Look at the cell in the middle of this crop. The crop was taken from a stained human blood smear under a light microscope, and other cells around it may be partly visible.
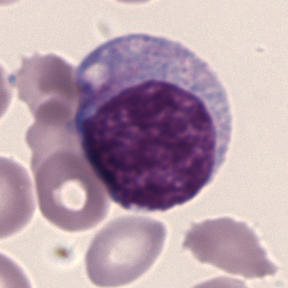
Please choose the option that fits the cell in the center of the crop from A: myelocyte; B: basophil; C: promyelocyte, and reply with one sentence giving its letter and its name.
According to option A, which is correct, the cell in the middle is a myelocyte.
